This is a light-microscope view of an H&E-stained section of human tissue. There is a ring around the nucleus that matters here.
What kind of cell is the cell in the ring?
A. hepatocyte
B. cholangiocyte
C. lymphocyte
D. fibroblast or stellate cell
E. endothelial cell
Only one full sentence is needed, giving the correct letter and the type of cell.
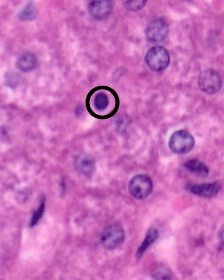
The statement that the cell in the ring is a lymphocyte corresponds to option C, the correct one.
